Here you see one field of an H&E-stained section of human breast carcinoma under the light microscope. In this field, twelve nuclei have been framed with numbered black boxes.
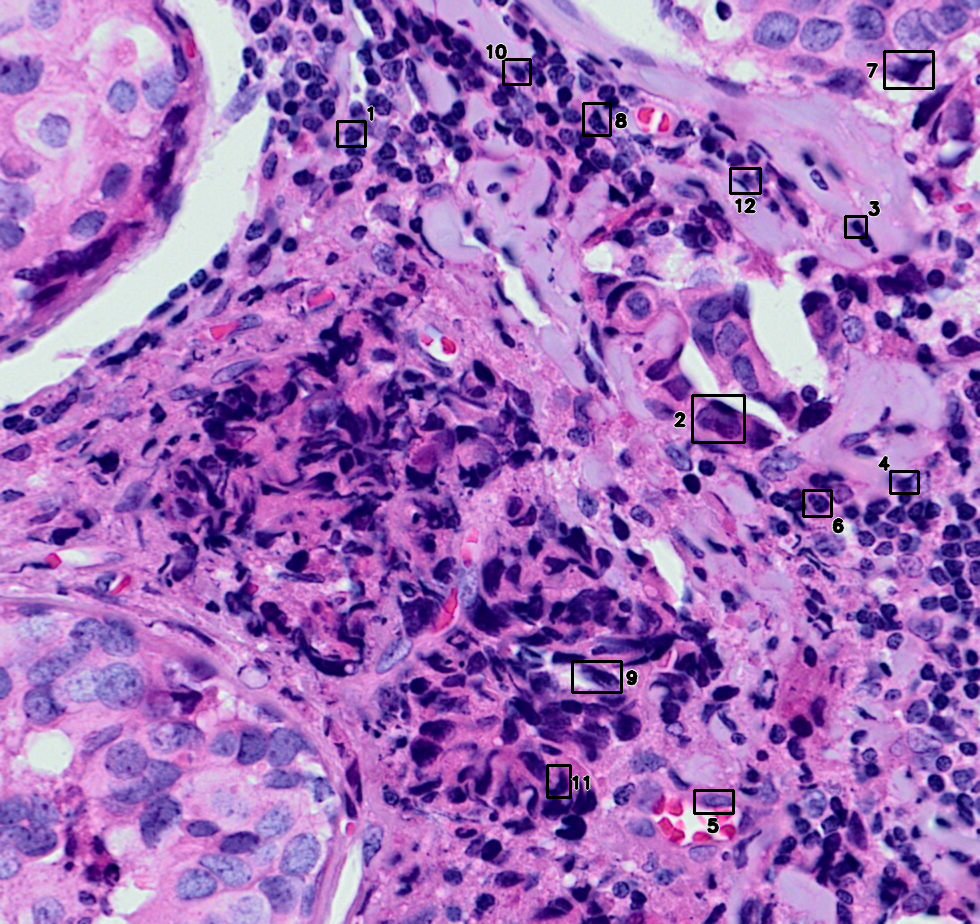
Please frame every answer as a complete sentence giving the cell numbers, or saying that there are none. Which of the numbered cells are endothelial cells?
Of the cells carrying numbers, just cell 5 is an endothelial cell.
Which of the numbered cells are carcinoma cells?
Cells 2, 7, 9 and 11 are recognised here as carcinoma cells.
